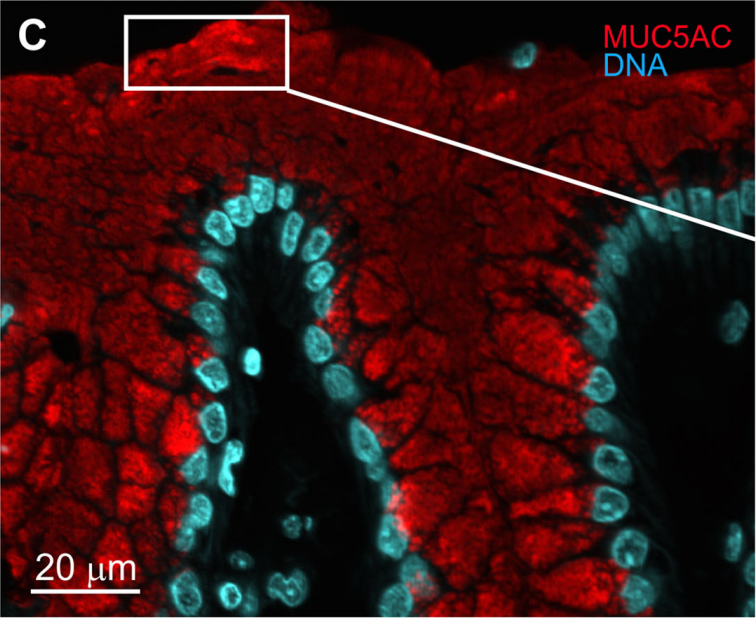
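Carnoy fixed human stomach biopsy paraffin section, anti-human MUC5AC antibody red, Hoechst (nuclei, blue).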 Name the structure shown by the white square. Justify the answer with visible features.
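The white square sits on the red-stained layer at the top edge of the tissue. Within the square the red material forms streaky layers lying parallel to the surface. The boxed material lies above the epithelium and contains no blue nuclei.
Conclusion: surface mucus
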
